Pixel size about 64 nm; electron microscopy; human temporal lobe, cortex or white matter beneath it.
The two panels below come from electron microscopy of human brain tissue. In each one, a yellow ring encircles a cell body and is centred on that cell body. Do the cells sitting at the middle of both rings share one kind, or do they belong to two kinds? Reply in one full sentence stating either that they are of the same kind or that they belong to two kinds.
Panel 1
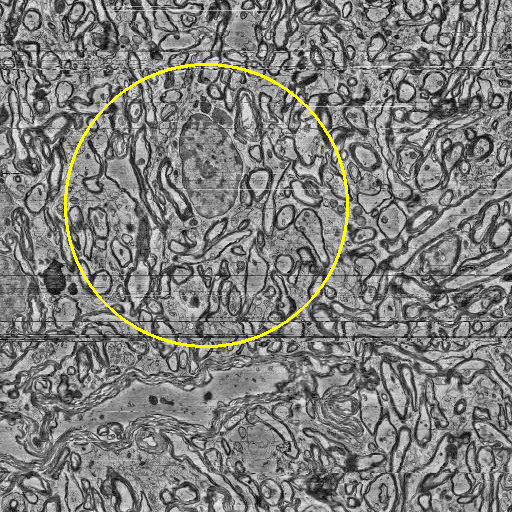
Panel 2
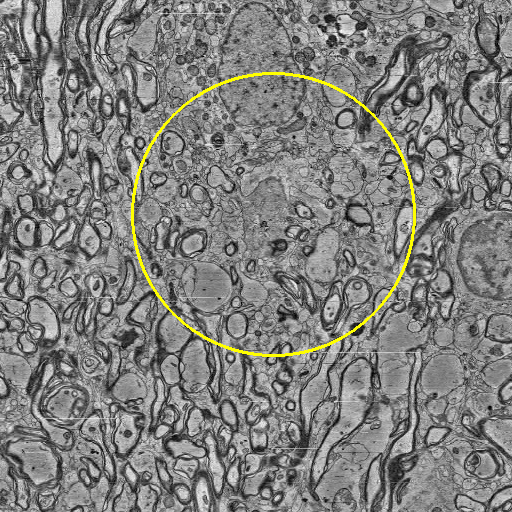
The cells at the centres of the two rings belong to two kinds.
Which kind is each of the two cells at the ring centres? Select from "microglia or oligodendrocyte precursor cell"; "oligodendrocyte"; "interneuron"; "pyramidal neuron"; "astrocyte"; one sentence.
The cell at the centre of the ring is a microglial cell or oligodendrocyte precursor cell in the first picture and an oligodendrocyte in the second.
